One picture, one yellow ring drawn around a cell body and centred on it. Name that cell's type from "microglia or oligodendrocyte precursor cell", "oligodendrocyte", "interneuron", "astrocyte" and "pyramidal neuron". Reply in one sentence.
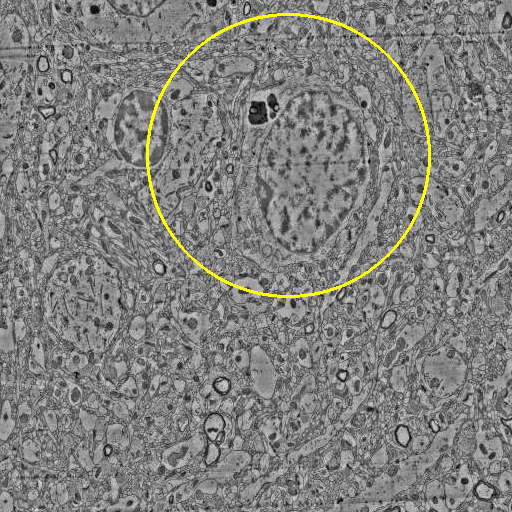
Centred in the ring is an interneuron.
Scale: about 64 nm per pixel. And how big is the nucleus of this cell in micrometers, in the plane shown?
The nucleus comes to approximately 10 by 7 micrometres and is clearly longer than it is wide in this plane.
